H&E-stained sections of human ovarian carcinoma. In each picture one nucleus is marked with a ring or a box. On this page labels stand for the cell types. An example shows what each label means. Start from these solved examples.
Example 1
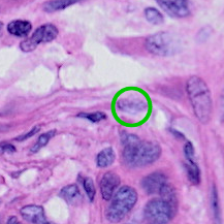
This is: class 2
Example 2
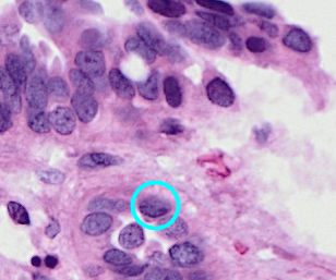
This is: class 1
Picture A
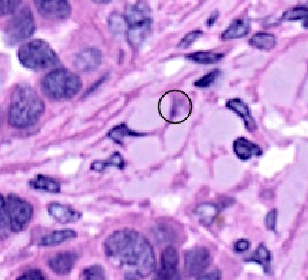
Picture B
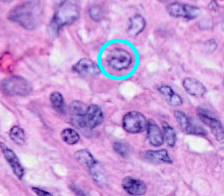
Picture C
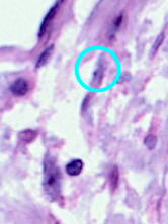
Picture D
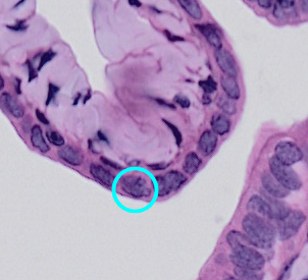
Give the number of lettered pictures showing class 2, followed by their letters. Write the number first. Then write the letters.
3: A, B, C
